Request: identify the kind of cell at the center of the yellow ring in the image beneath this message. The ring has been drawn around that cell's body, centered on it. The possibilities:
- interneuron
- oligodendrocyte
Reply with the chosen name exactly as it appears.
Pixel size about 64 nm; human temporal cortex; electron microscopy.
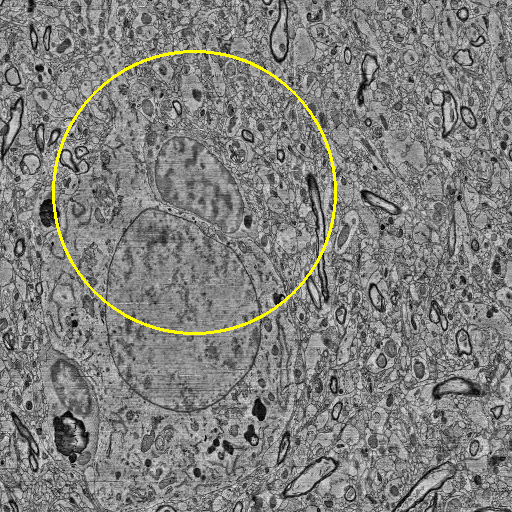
oligodendrocyte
